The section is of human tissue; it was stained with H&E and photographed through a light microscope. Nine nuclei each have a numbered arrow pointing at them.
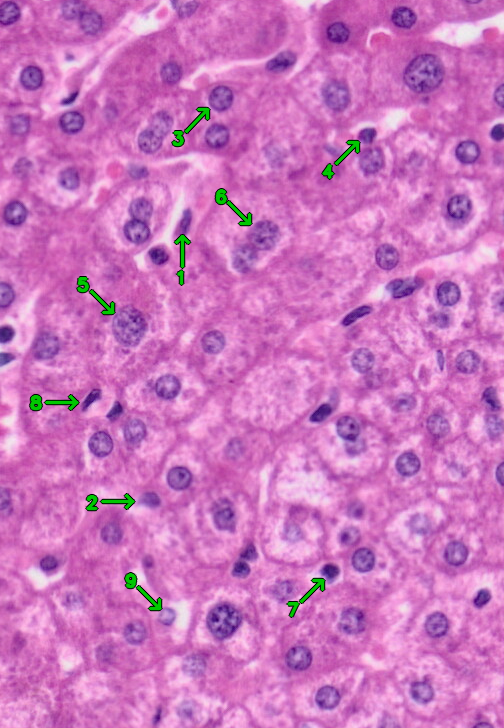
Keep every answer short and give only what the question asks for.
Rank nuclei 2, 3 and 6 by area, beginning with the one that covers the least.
2, 3, 6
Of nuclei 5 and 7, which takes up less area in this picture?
7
